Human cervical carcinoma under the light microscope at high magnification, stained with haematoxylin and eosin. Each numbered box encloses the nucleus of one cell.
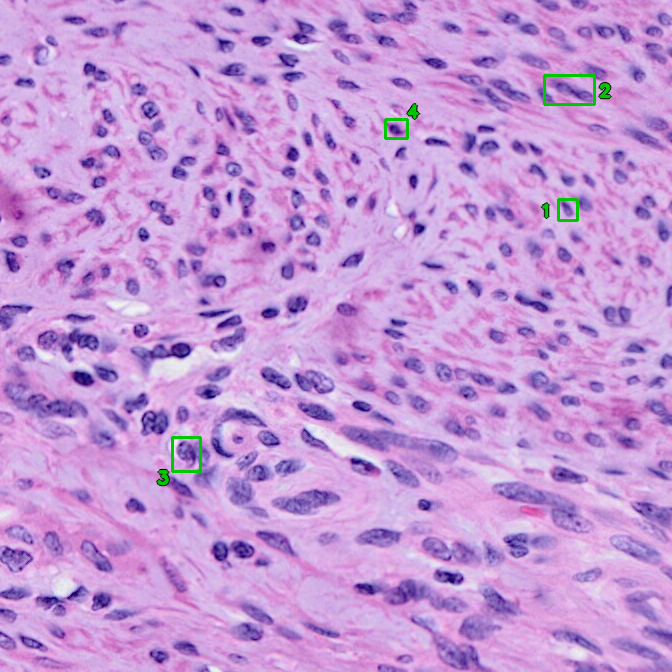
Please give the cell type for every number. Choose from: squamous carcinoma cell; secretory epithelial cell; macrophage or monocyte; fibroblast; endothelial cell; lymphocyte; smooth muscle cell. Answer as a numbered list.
1. smooth muscle cell
2. smooth muscle cell
3. lymphocyte
4. smooth muscle cell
